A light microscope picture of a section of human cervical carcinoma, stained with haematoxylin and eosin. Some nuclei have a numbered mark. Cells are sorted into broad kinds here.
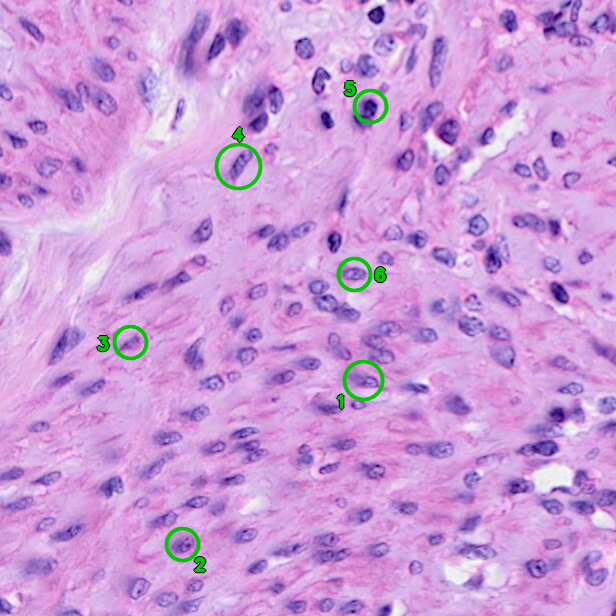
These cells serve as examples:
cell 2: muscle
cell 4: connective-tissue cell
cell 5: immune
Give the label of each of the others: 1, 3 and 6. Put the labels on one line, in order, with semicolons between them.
muscle; muscle; muscle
